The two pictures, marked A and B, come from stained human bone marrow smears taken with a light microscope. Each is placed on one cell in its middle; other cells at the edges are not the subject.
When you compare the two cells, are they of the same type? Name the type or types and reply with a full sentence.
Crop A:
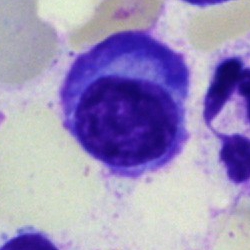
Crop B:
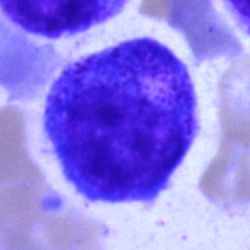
No, cell A is a plasma cell, and cell B is a promyelocyte.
